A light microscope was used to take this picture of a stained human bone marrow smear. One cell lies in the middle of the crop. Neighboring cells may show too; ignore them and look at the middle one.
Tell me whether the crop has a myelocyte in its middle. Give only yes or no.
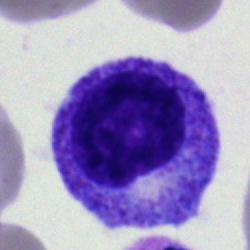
no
